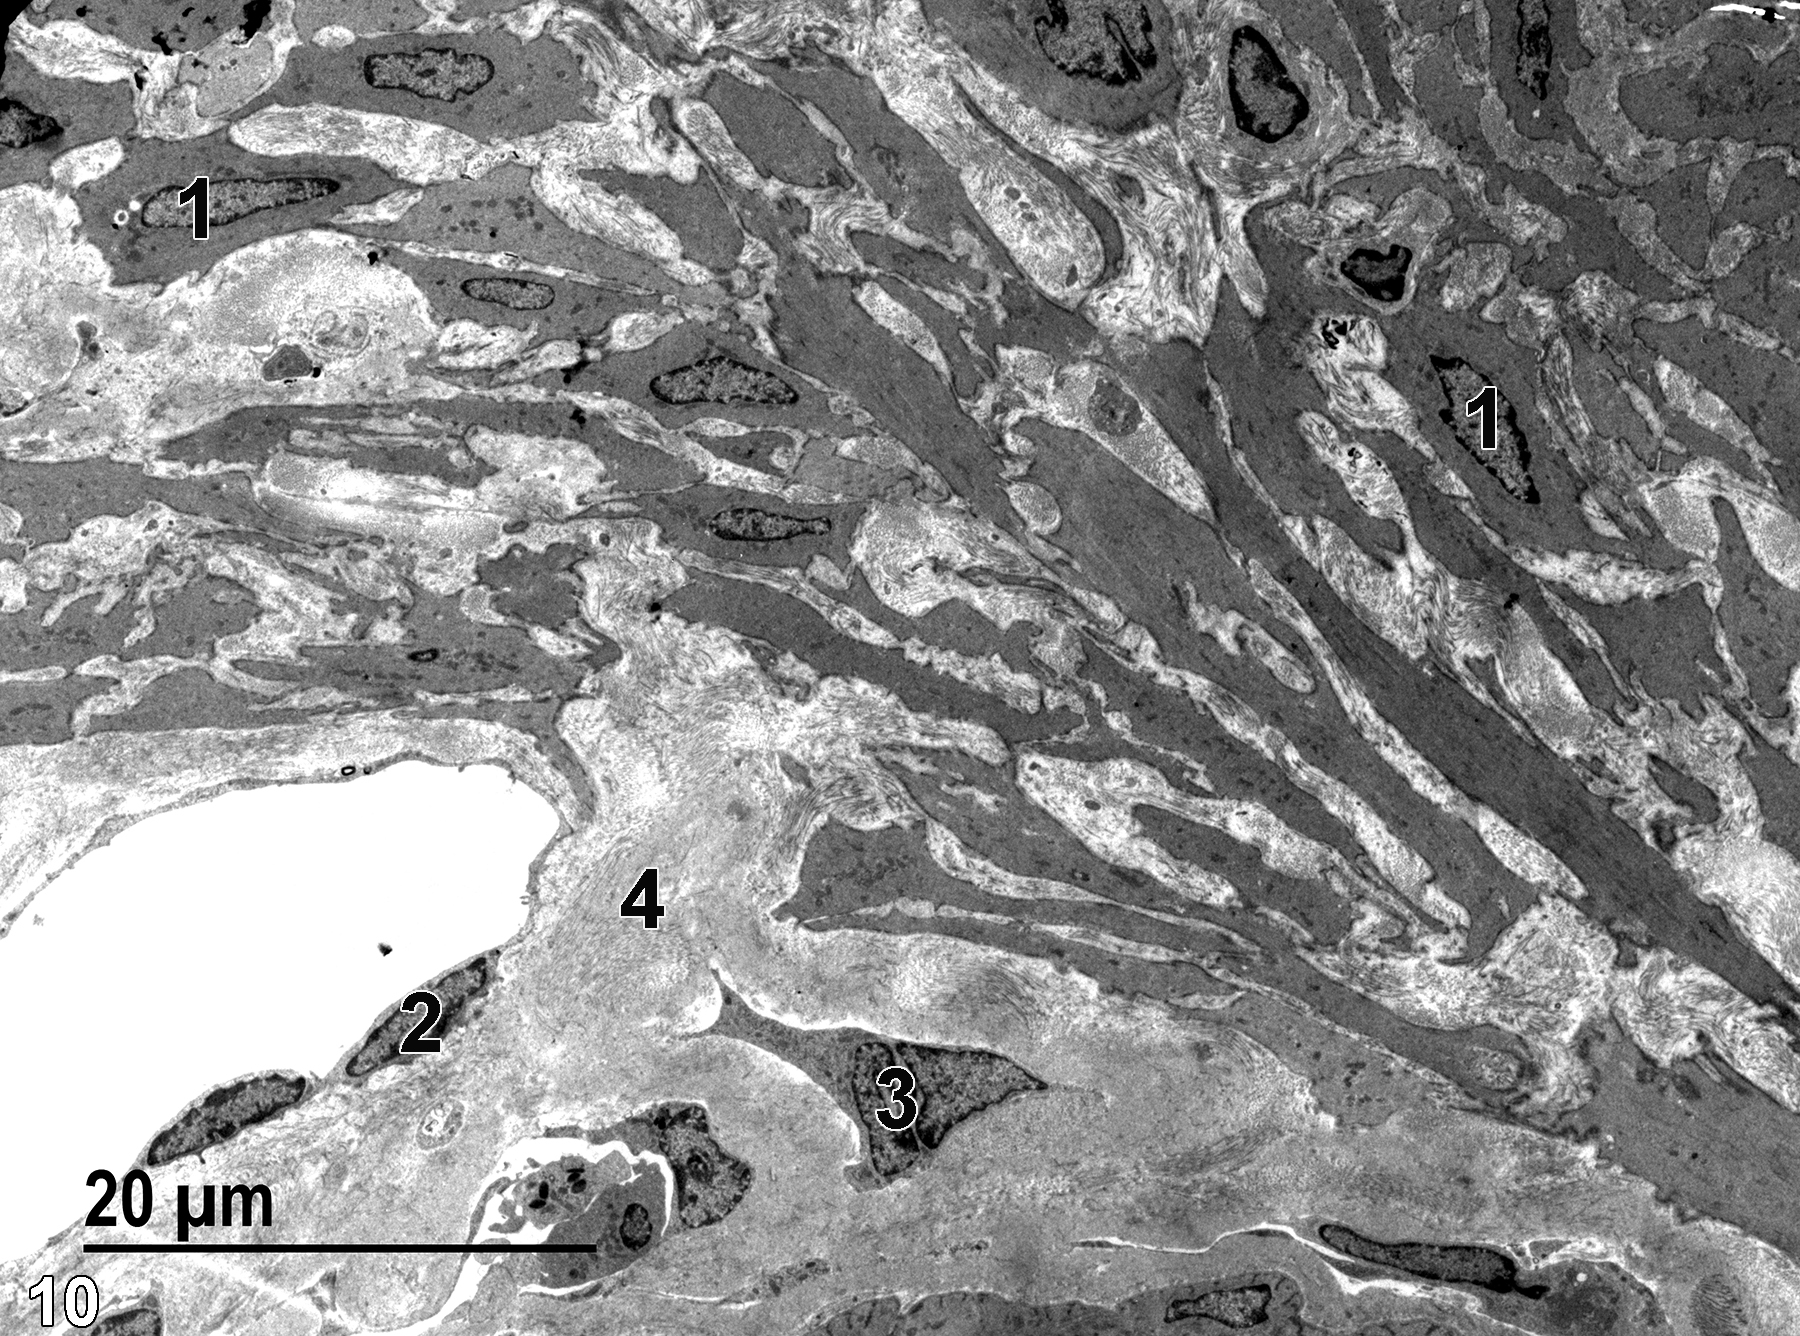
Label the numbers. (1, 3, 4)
1 - smooth muscle cells
3 - fibroblasts
4 - collagen fibrils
